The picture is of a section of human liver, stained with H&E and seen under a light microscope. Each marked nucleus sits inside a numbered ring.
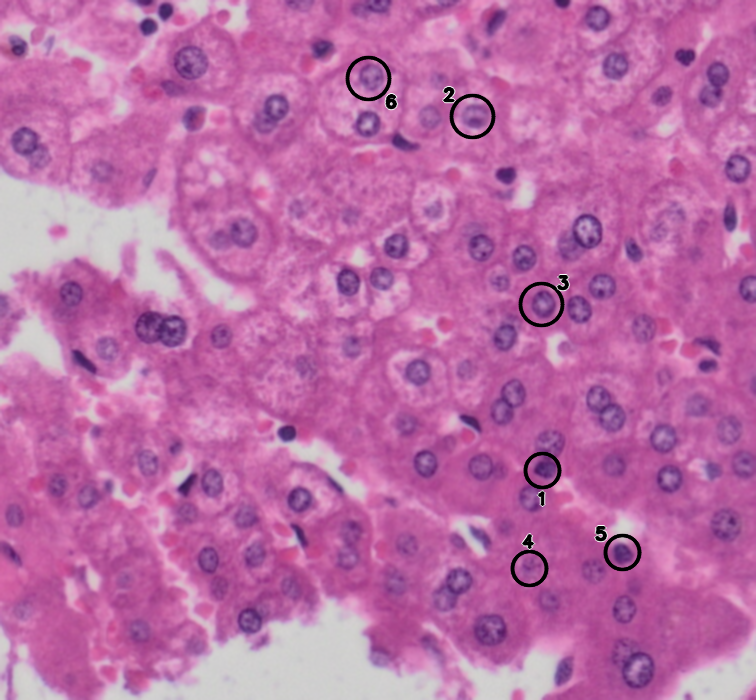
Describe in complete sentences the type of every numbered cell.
Cell 1 is a fibroblast or stellate cell, cell 2 is a hepatocyte, cell 3 is a hepatocyte, cell 4 is a hepatocyte, cell 5 is a fibroblast or stellate cell and cell 6 is a hepatocyte.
